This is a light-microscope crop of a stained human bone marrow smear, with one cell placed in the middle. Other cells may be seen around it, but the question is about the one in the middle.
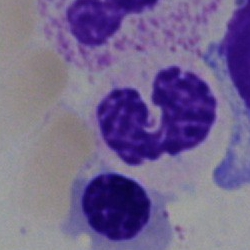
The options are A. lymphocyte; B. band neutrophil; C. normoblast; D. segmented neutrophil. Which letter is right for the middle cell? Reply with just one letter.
D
